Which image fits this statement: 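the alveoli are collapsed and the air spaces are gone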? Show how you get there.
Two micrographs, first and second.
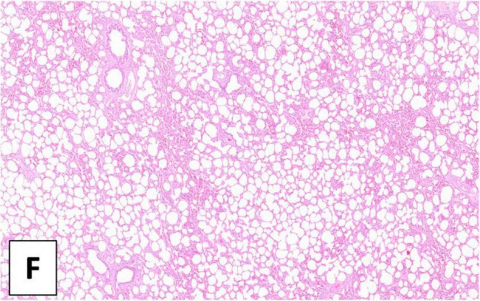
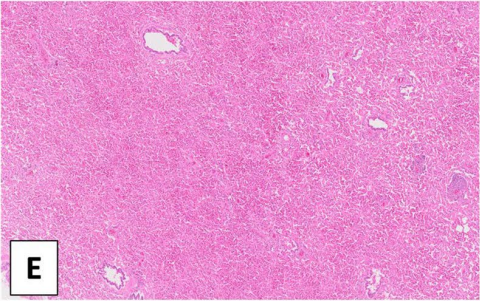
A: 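First image: many open, empty round air spaces separated by thin septa. Second image: a dense pink sheet of tissue with almost no open air spaces.
Answer: the second image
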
